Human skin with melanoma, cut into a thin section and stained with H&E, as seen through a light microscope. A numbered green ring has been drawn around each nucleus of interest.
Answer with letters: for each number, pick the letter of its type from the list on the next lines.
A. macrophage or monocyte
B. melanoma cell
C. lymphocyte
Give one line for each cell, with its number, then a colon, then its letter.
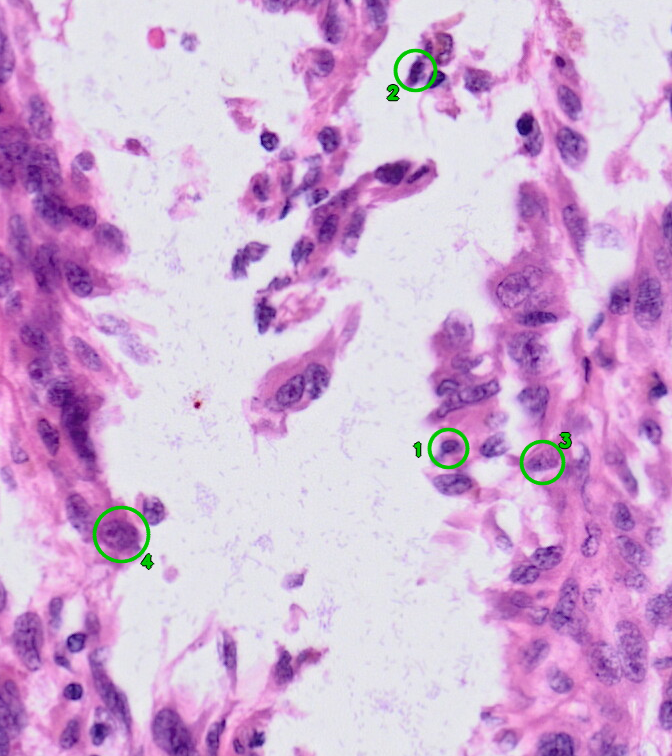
1: A
2: B
3: B
4: B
